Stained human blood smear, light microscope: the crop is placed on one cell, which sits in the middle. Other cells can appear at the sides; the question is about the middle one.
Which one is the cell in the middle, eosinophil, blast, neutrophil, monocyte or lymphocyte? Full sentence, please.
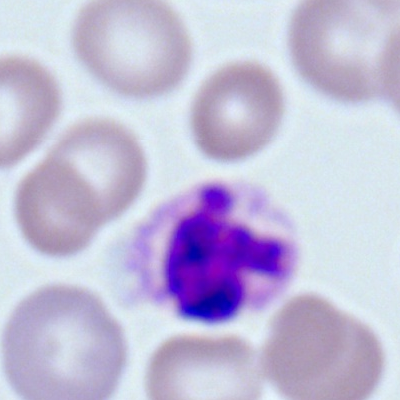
In the center of this field lies a neutrophil.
